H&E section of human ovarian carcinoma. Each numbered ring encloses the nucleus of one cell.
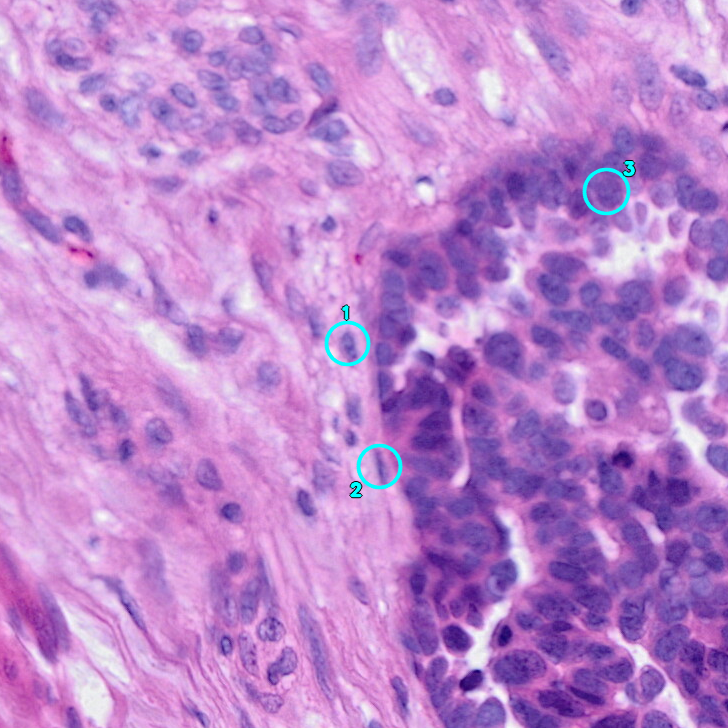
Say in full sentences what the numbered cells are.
Cells 1 and 2 are macrophages or monocytes. Cell 3 is a carcinoma cell.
